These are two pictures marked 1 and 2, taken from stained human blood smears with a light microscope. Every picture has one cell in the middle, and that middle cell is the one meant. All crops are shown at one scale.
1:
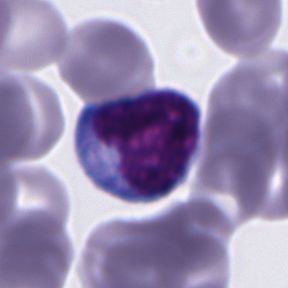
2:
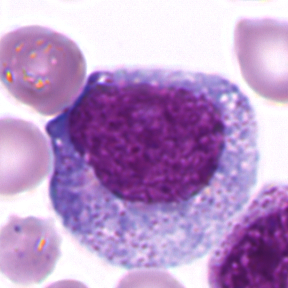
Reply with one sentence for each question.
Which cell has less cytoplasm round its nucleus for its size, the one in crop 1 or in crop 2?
It is the cell in crop 1 that is filled more by its nucleus.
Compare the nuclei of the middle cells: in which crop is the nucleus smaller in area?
Smaller is the nucleus in crop 1, and the other is about 2 times as large in area.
